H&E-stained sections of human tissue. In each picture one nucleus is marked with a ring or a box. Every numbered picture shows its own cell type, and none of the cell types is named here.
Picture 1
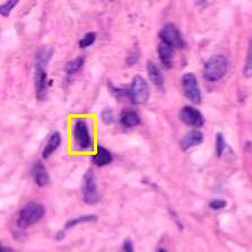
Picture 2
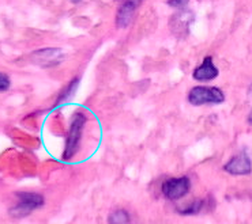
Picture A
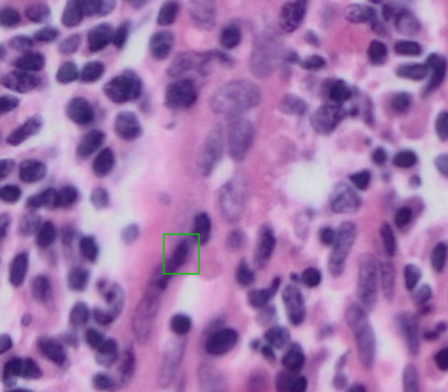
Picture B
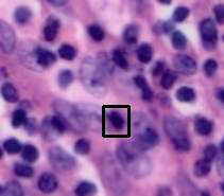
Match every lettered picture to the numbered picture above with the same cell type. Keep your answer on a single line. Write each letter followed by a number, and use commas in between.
A 2, B 2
